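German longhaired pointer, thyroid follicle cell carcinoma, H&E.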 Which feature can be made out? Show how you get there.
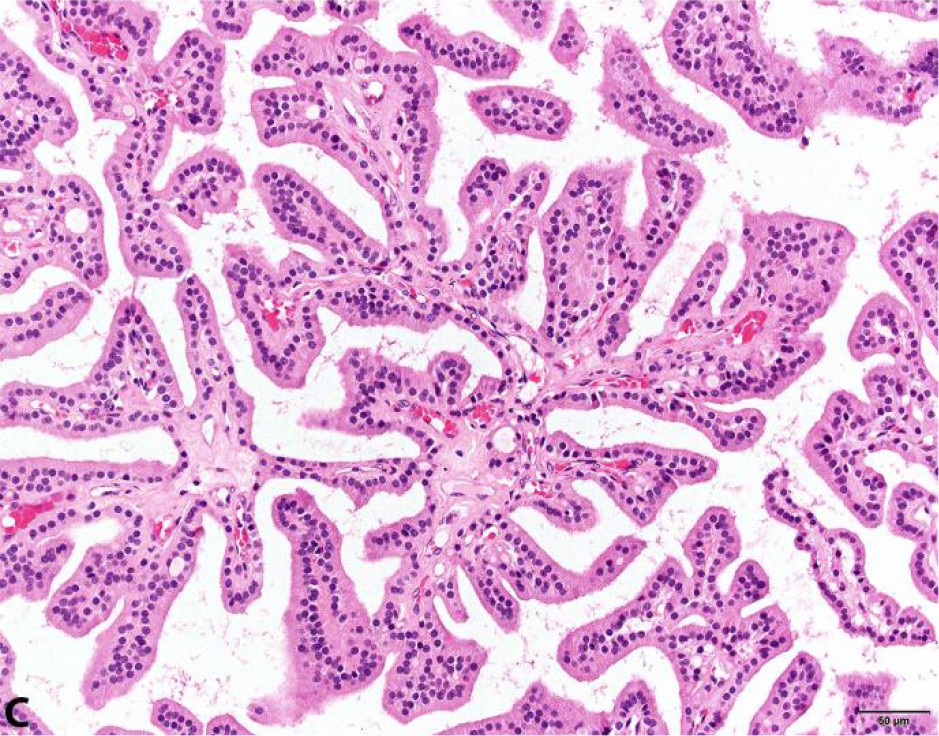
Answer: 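Papillary. Branching finger-like projections with thin fibrovascular cores. Cores lined by a layer of epithelial cells, separated by empty spaces.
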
